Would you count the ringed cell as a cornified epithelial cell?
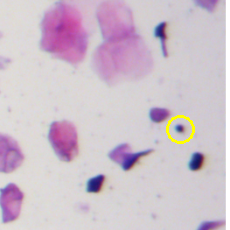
No, I would count it as a leukocyte.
